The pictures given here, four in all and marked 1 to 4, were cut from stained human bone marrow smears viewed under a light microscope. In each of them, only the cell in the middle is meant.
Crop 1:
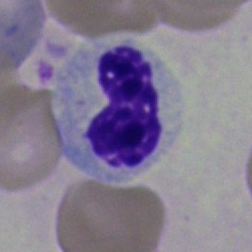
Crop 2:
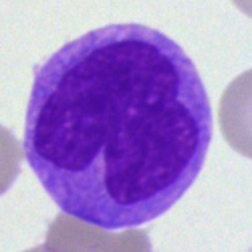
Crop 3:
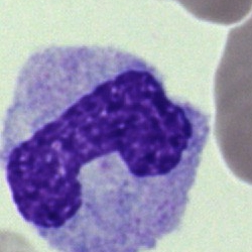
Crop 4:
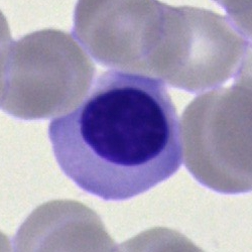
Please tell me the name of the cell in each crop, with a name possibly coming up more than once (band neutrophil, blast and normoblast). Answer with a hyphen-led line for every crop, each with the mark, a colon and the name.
- 1: band neutrophil
- 2: blast
- 3: band neutrophil
- 4: normoblast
